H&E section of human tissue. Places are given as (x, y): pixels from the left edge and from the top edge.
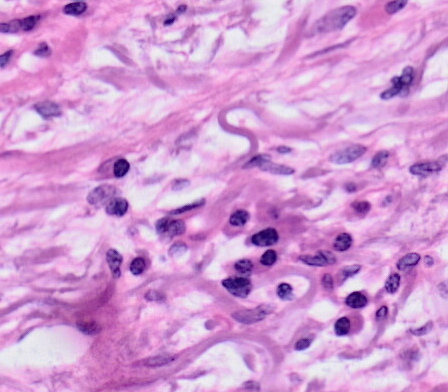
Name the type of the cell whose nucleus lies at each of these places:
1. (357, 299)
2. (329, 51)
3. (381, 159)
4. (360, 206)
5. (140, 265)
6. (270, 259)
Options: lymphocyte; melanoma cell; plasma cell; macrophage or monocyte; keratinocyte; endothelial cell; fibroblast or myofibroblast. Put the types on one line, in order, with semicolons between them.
plasma cell; fibroblast or myofibroblast; macrophage or monocyte; plasma cell; plasma cell; plasma cell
